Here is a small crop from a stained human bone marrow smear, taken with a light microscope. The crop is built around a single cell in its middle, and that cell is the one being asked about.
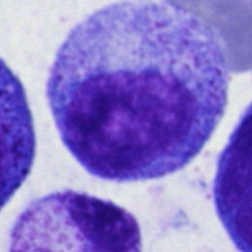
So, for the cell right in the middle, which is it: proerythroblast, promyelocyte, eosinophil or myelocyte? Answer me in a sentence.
The center cell of this crop is a promyelocyte.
